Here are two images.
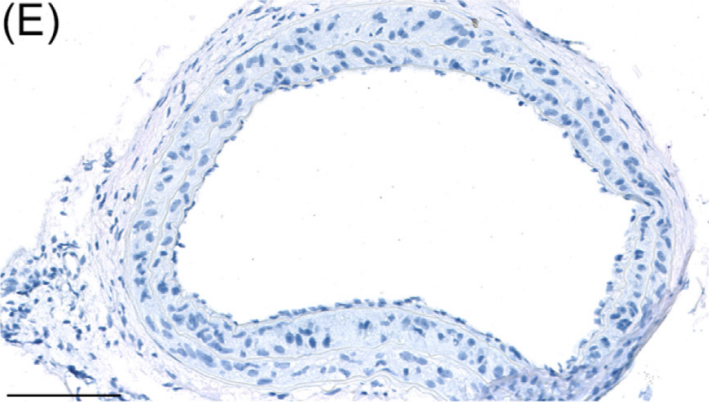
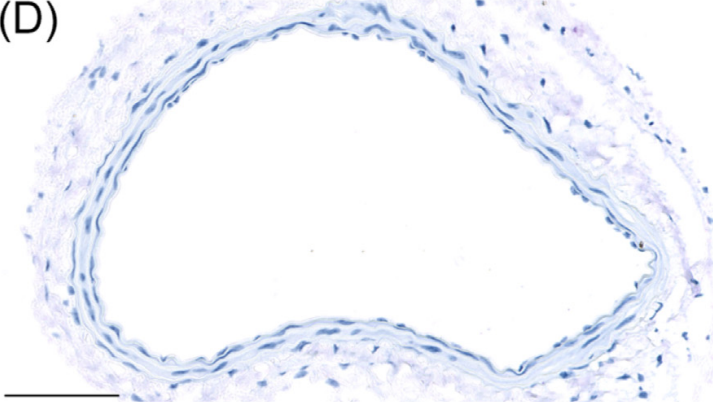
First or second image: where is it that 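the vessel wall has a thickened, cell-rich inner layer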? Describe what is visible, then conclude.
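The first image. First image: a thick layer of many nucleated cells lies inside the elastic laminae, lining the lumen. Second image: the wall is thin, with only a few flattened nuclei between the lumen and the elastic layers.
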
